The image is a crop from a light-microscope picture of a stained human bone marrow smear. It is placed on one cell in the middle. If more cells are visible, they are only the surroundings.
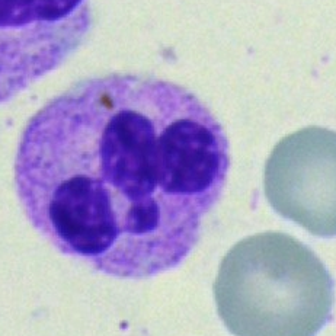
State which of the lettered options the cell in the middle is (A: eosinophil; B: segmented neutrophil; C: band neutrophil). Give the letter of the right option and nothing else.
B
